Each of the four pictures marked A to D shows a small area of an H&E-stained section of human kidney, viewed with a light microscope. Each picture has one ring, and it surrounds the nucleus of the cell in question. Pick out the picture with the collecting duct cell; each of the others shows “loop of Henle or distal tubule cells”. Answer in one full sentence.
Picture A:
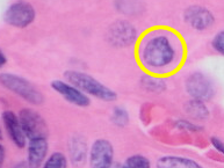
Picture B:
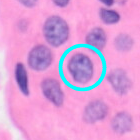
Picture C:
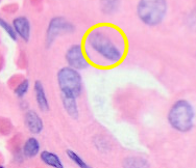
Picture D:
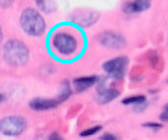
The collecting duct cell is the one in picture C.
